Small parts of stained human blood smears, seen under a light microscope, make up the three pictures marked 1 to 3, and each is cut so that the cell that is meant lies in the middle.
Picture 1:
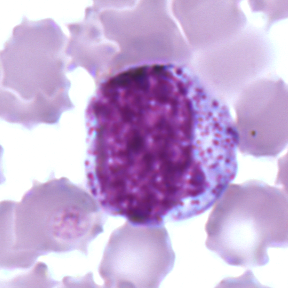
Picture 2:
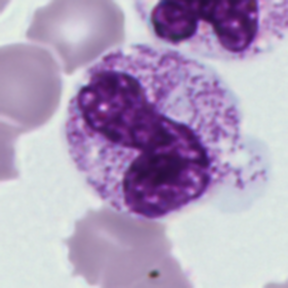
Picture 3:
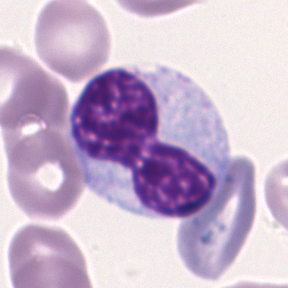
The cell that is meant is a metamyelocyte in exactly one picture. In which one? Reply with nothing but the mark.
1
